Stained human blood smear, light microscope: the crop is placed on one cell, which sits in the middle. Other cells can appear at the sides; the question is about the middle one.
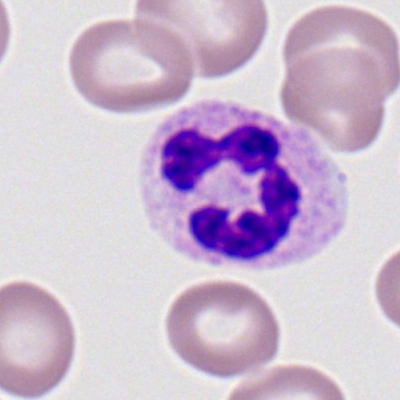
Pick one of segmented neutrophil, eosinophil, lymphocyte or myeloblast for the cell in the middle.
segmented neutrophil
